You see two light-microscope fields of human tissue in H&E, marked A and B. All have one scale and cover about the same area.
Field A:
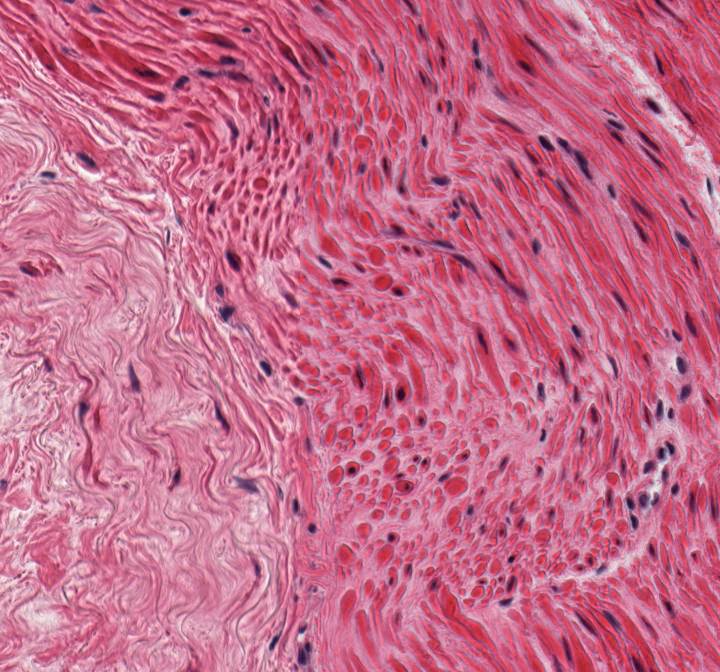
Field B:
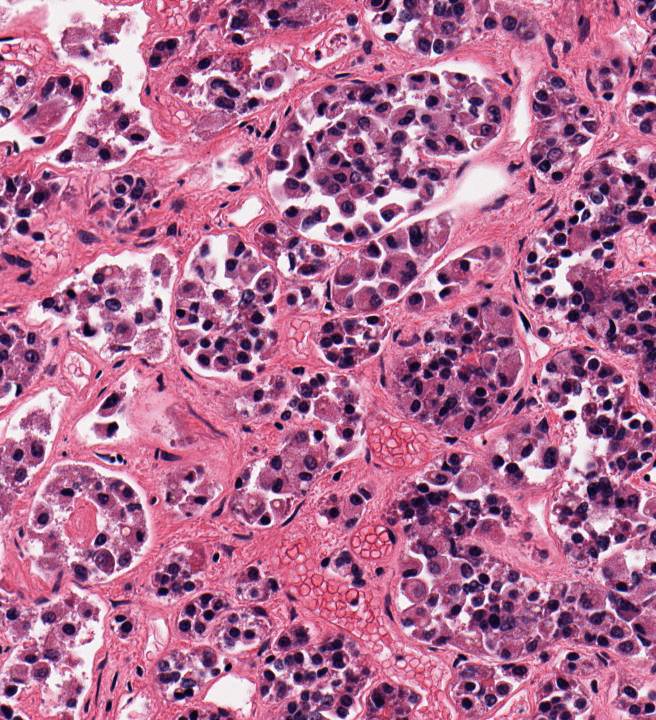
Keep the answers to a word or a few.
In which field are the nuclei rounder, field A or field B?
B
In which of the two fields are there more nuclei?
B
